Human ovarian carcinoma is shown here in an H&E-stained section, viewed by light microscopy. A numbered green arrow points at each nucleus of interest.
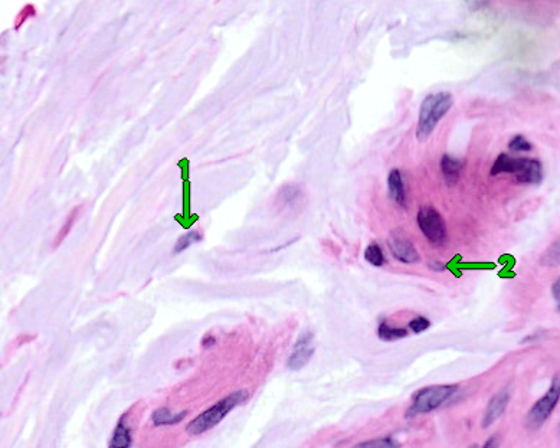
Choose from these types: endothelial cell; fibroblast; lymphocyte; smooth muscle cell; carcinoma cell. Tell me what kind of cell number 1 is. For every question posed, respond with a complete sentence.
The cell marked with the number 1 is a fibroblast.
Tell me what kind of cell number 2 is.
Denoted by the label 2 in the section is a smooth muscle cell.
